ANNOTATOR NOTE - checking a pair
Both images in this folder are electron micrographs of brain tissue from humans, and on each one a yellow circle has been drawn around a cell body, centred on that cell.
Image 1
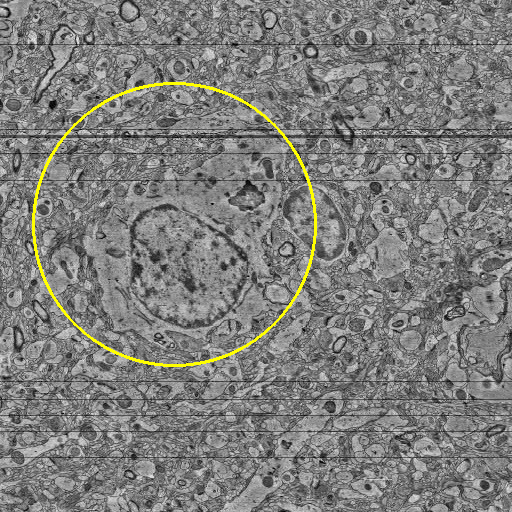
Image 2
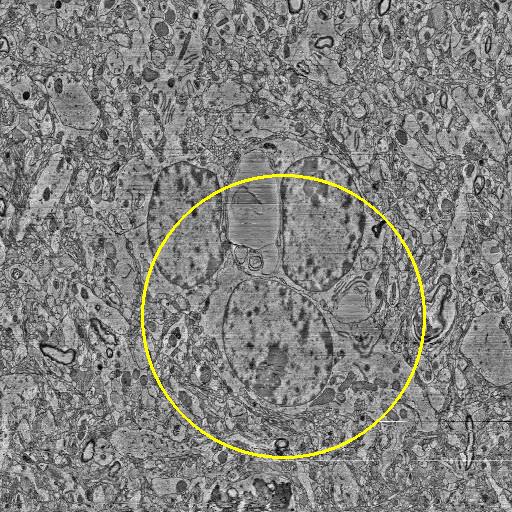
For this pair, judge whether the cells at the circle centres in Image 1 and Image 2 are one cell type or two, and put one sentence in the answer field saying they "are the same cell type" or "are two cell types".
For this pair, the cells at the circle centres in Images 1 and 2 are the same cell type.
